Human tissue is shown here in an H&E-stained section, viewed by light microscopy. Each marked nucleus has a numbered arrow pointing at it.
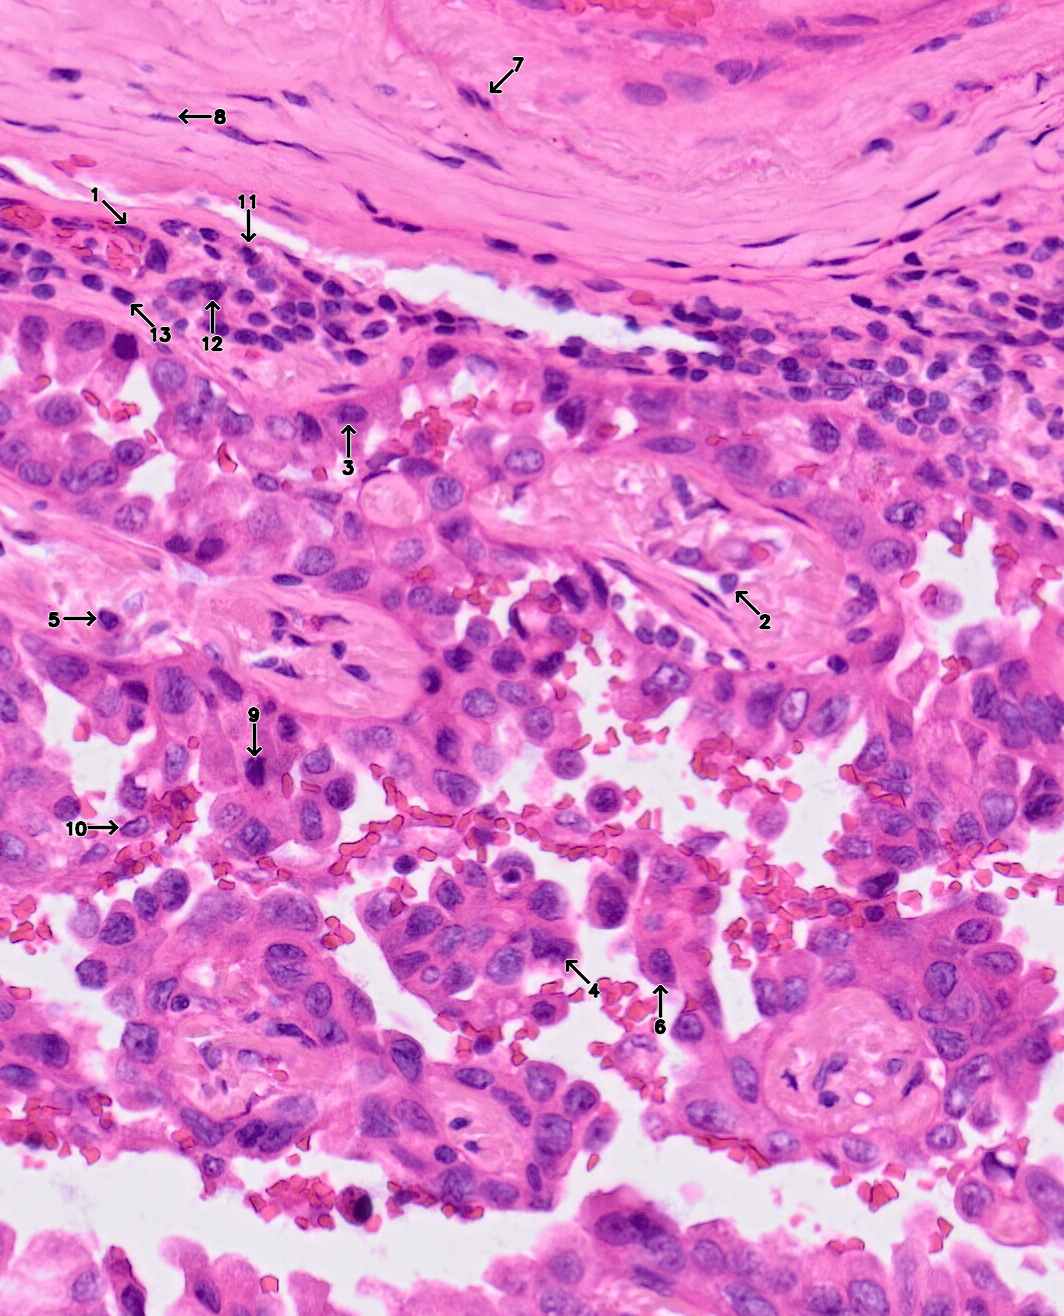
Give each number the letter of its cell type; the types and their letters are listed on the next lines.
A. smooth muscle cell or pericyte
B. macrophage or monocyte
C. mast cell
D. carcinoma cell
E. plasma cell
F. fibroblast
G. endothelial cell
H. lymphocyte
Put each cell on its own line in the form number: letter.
1: G
2: H
3: D
4: D
5: E
6: D
7: A
8: F
9: D
10: B
11: E
12: E
13: H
